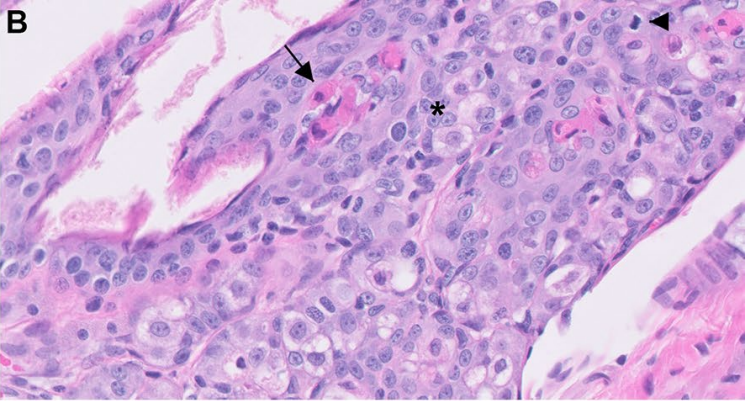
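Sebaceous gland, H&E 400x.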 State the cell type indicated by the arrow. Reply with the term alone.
Apoptotic cells.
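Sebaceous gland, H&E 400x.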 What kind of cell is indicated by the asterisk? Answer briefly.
Reserve cells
